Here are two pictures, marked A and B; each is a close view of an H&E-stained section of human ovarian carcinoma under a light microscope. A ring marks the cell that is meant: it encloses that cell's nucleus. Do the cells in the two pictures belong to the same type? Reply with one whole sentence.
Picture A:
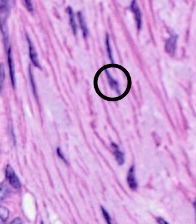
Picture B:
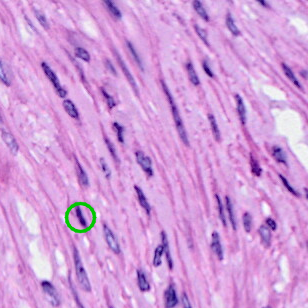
Yes, the two pictures both show fibroblasts.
